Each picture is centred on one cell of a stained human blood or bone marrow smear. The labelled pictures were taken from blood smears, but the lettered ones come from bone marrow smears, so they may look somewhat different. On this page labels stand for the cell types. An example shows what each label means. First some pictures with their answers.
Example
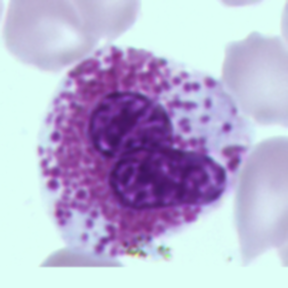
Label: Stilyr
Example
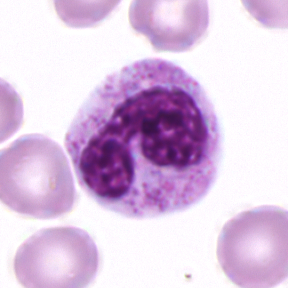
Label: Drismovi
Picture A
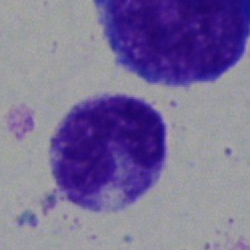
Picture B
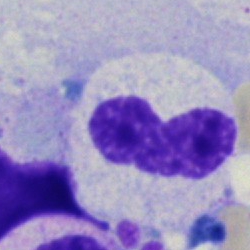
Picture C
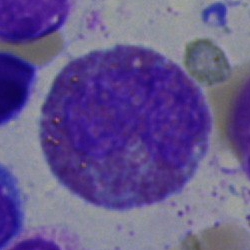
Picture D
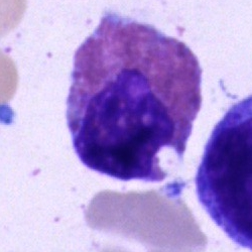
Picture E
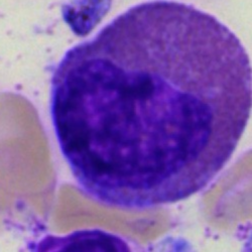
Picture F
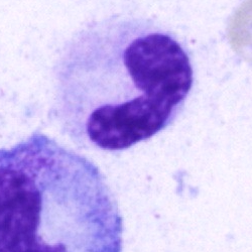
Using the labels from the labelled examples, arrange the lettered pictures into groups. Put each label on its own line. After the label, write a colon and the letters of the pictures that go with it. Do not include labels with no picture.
Stilyr: C, D, E
Drismovi: A, B, F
